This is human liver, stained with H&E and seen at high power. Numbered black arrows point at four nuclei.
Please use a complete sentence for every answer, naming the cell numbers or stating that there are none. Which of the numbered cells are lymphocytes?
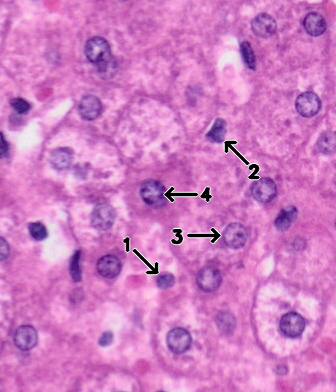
Only the cell numbered 1 is a lymphocyte; none of the others is.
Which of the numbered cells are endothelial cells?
Only one of the numbered nuclei, number 2, belongs to an endothelial cell.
